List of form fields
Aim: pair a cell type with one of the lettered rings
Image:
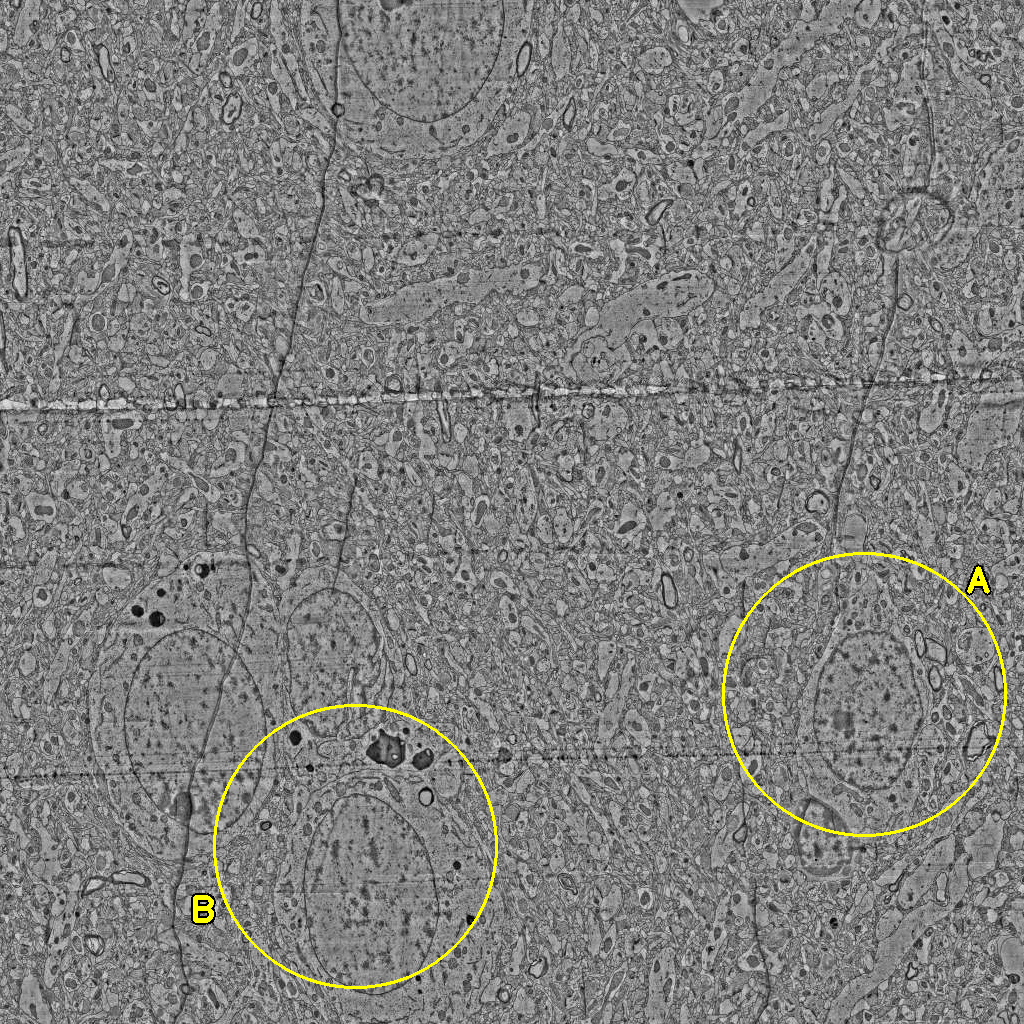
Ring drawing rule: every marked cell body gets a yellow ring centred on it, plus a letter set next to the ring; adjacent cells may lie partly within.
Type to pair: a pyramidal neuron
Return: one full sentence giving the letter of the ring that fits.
Ring B is the one whose central cell body is that kind of cell.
